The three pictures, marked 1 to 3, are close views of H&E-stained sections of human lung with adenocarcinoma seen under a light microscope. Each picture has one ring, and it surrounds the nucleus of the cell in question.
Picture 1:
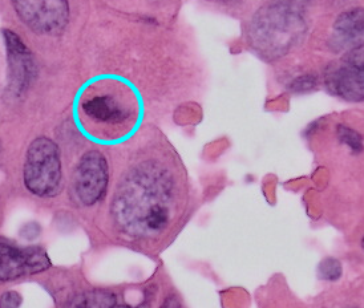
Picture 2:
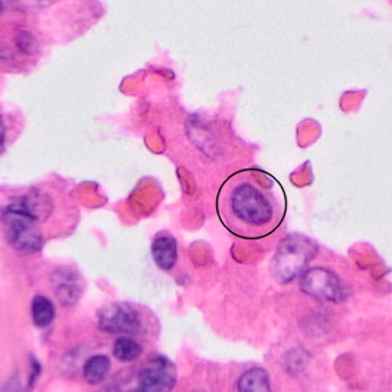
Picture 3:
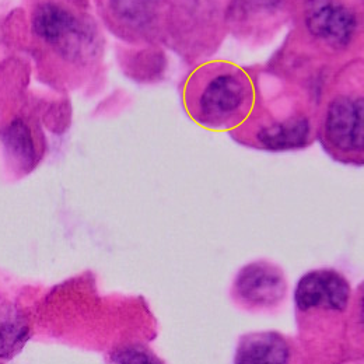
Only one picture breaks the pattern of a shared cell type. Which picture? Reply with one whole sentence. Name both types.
All pictures except 2 show carcinoma cells; picture 2 shows a “macrophage or monocyte”.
